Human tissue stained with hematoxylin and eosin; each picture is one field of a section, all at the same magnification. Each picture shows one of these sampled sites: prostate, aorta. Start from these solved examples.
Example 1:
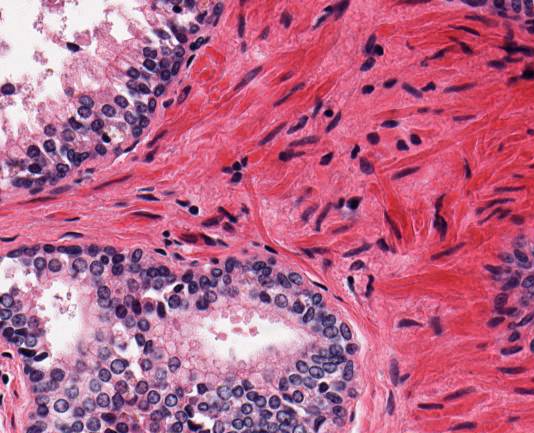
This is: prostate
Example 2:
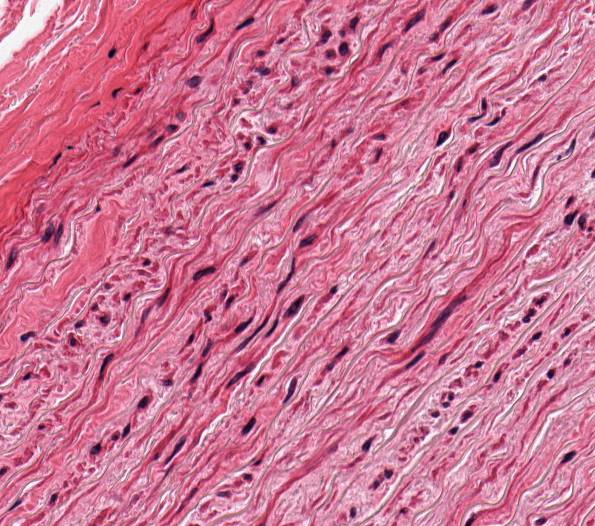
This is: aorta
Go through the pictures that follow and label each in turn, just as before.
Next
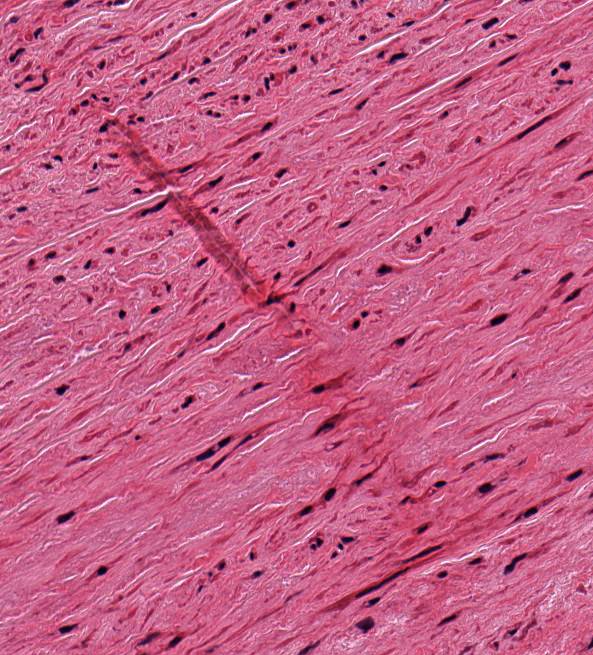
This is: aorta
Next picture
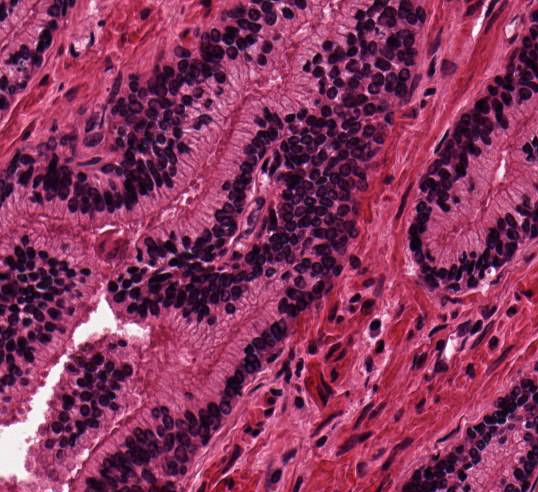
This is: prostate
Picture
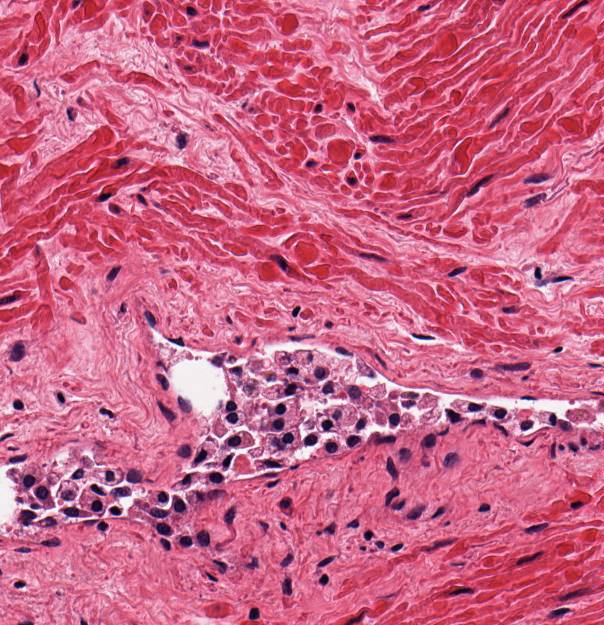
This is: prostate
